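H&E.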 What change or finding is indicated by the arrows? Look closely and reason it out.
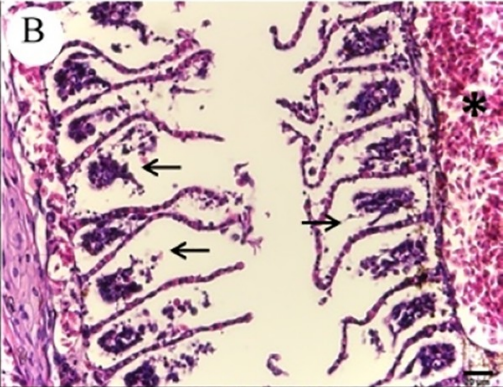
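The thin epithelial covering of the lamellae is lifted away from the underlying cell cores.
Conclusion: Detachment of epithelial cells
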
